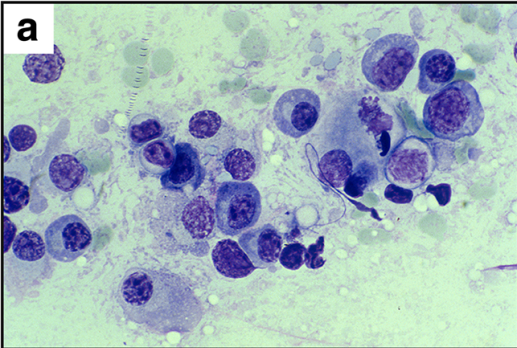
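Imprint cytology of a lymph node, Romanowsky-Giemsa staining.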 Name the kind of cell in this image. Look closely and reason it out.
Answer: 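Round to oval cells with eccentrically placed round nuclei. Abundant deep blue cytoplasm around the nuclei. Coarse, clumped nuclear chromatin. The answer: plasma cells.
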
